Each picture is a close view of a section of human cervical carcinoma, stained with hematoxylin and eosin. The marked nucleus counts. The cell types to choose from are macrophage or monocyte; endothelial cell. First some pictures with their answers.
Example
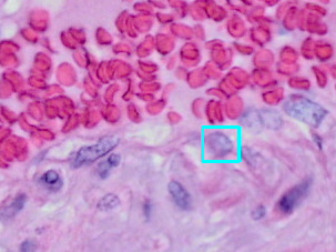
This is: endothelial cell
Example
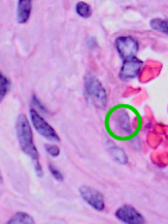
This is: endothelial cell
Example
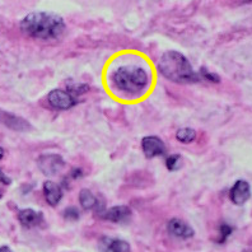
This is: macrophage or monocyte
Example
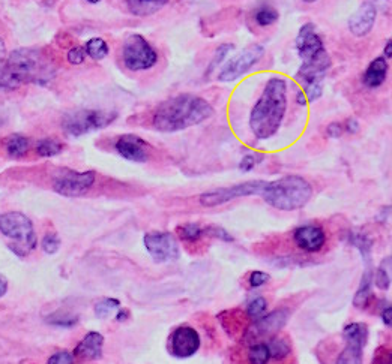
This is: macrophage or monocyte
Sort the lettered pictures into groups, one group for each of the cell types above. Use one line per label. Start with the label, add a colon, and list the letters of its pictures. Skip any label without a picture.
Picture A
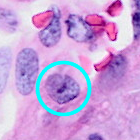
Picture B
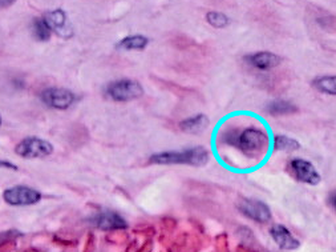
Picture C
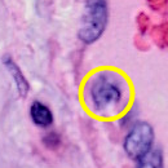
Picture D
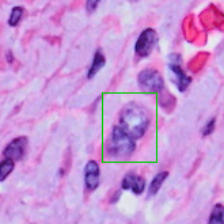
macrophage or monocyte: B
endothelial cell: A, C, D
